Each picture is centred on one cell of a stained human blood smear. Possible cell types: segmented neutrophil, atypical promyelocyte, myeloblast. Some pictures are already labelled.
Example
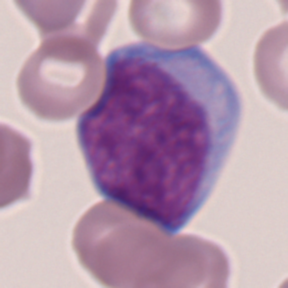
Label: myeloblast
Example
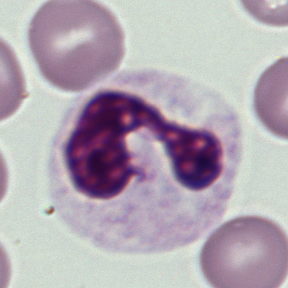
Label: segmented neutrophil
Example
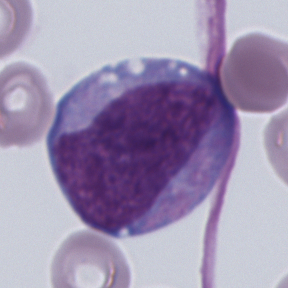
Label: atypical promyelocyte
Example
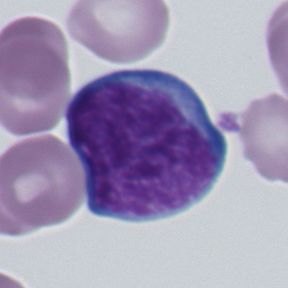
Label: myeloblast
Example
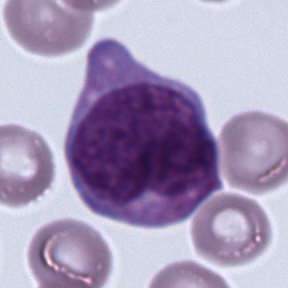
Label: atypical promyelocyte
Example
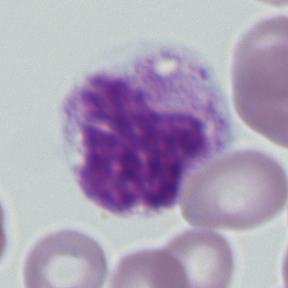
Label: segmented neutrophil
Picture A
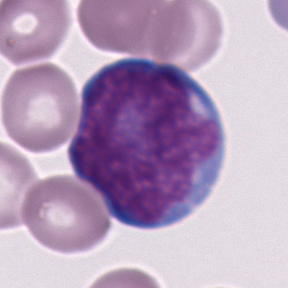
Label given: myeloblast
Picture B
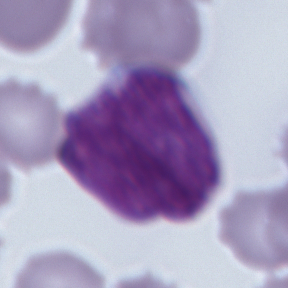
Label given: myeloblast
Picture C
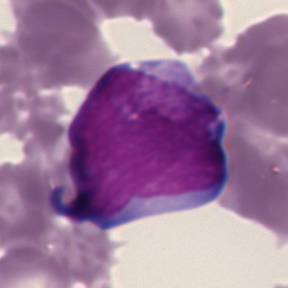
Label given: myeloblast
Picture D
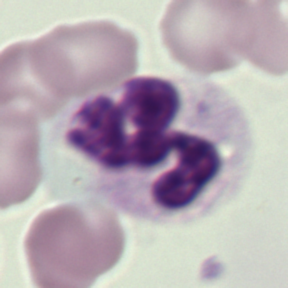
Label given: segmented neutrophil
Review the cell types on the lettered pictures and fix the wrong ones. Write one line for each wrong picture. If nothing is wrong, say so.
Nothing to fix; every label fits.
